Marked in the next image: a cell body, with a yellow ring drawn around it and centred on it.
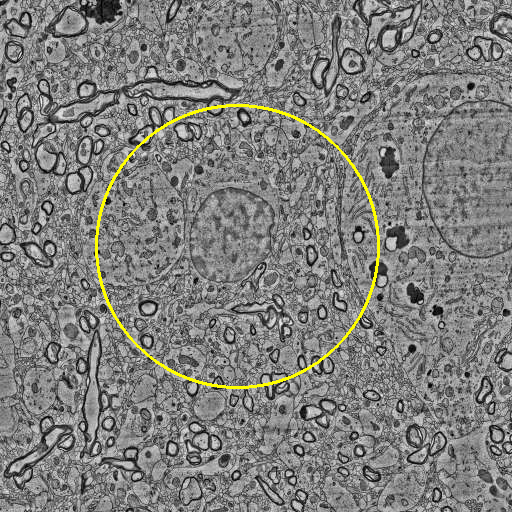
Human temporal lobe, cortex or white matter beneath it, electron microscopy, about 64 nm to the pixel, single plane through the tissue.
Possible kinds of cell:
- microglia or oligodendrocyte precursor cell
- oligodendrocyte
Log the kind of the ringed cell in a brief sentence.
The ringed cell body is that of an oligodendrocyte.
